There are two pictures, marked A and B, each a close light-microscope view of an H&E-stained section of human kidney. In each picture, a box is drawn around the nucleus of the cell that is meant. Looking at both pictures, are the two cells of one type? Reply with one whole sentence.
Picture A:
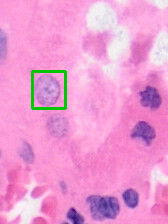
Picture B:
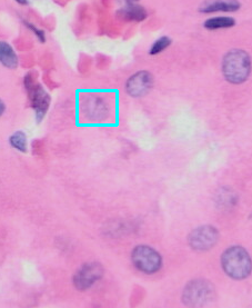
Yes, both cells are proximal tubule cells.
